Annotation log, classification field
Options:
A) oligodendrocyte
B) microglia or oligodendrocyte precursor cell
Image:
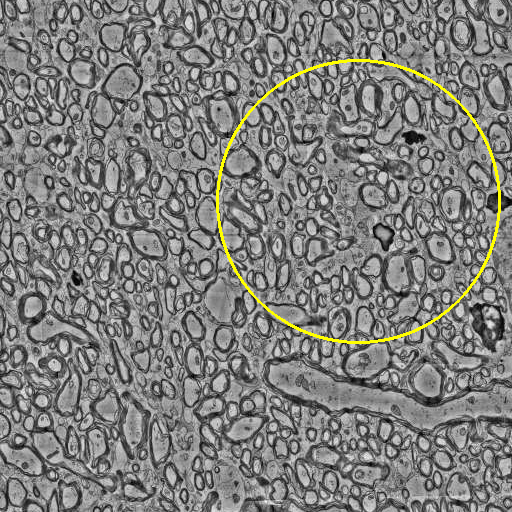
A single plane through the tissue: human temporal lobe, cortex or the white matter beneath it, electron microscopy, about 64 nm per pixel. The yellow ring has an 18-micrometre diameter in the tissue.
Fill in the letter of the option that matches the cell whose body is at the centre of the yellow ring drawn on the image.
A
